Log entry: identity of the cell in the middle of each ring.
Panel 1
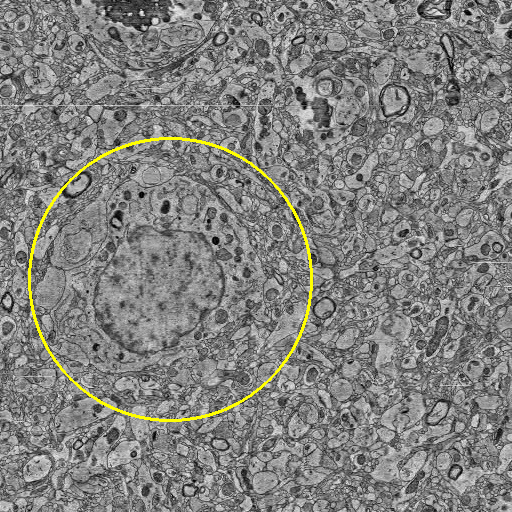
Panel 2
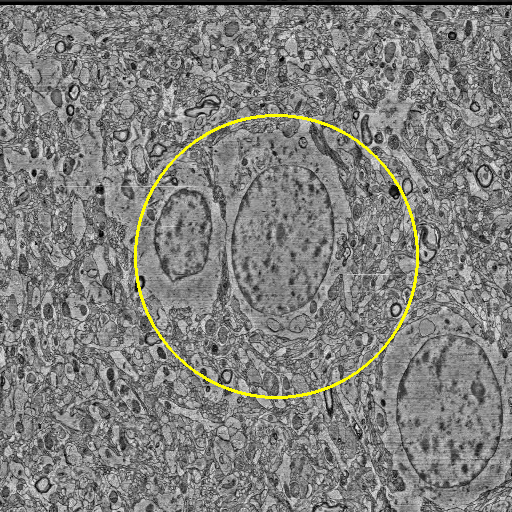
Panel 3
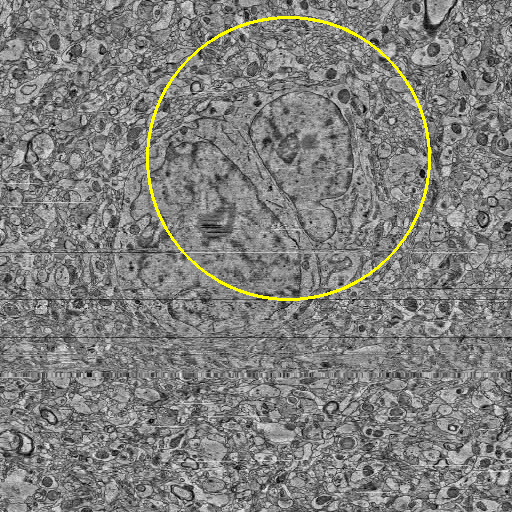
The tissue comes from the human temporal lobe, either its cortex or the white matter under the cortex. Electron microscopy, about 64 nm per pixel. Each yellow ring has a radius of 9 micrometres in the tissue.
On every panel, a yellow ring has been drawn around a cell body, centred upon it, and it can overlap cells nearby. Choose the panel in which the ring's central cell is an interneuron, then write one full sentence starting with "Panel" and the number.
Panel 1 shows the requested cell sitting in the middle of its ring.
